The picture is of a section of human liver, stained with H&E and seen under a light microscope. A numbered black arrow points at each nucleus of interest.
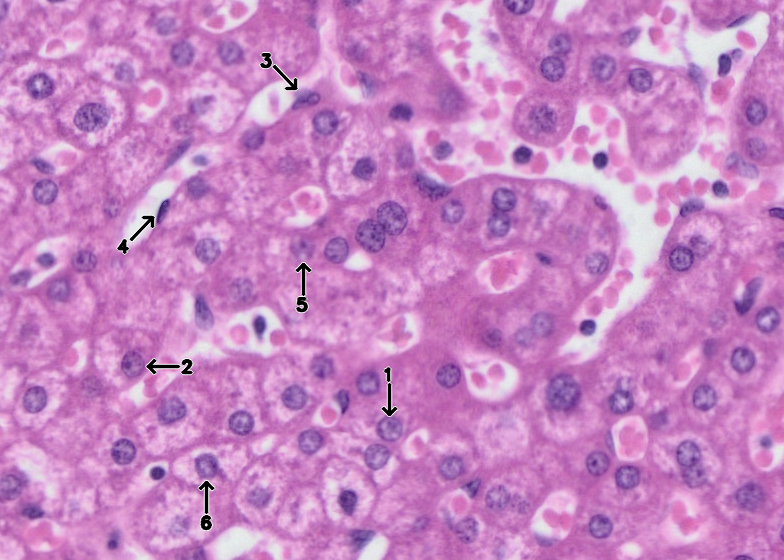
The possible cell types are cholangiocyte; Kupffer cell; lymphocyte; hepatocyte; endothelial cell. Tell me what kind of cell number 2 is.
hepatocyte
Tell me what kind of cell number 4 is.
endothelial cell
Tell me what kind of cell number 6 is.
hepatocyte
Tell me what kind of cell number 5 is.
hepatocyte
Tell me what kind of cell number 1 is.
hepatocyte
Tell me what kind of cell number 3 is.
Kupffer cell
